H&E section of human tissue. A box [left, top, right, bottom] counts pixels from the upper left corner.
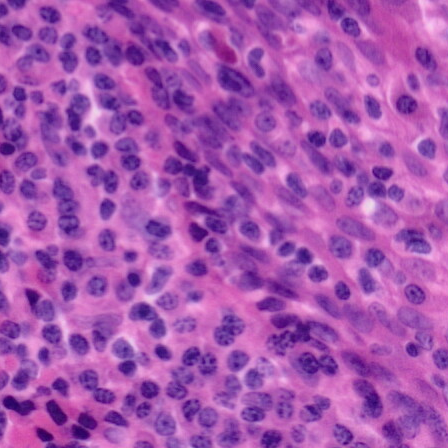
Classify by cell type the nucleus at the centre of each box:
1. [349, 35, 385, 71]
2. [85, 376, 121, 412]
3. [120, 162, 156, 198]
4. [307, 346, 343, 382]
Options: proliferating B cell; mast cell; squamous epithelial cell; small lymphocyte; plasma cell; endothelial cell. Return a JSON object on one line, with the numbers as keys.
{"1": "squamous epithelial cell", "2": "plasma cell", "3": "plasma cell", "4": "plasma cell"}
